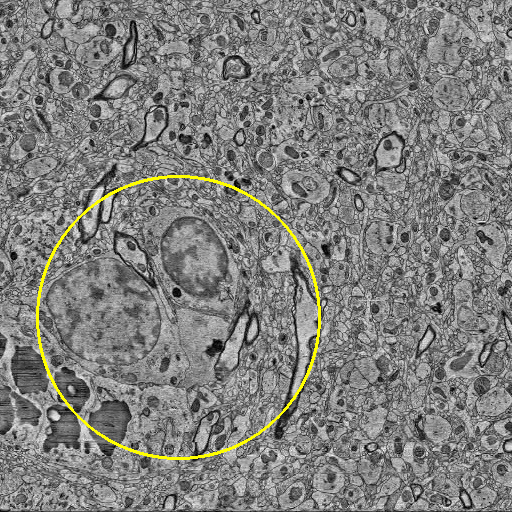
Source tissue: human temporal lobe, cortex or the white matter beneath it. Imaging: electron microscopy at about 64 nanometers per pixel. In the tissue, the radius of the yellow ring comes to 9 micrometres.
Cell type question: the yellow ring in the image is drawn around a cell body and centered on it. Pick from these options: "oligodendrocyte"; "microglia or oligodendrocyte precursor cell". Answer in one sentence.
The ringed cell at the center is an oligodendrocyte.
